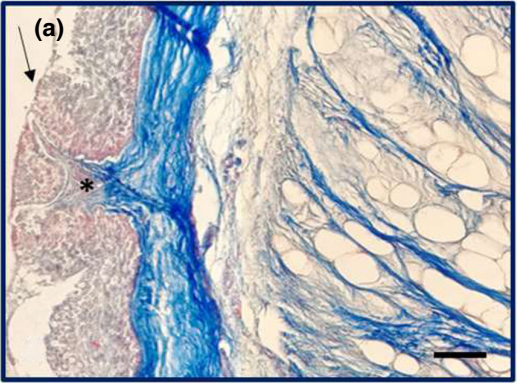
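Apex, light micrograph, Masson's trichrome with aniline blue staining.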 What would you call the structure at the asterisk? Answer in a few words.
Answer: Connective papillae.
